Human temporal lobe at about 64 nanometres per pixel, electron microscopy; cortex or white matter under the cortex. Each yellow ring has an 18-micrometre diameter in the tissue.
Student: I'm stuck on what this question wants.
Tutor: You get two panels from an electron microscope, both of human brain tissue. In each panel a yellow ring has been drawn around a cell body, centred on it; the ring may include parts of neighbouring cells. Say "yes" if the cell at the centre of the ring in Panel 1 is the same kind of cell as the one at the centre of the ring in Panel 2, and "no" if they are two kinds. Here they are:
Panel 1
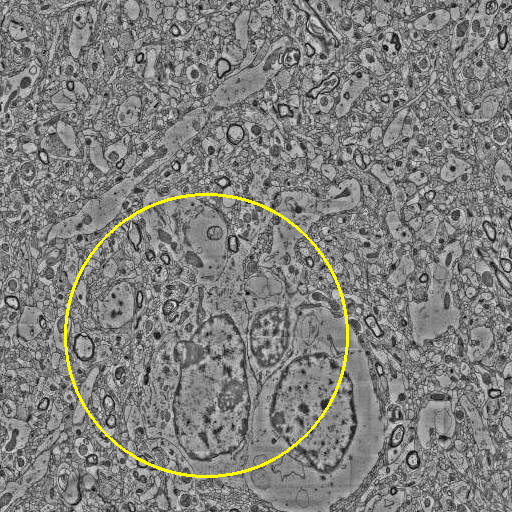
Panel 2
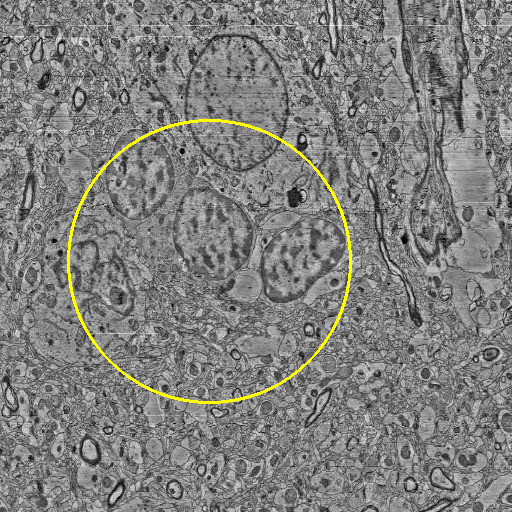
no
